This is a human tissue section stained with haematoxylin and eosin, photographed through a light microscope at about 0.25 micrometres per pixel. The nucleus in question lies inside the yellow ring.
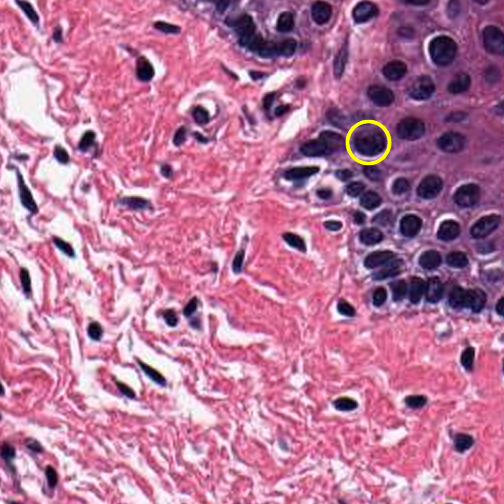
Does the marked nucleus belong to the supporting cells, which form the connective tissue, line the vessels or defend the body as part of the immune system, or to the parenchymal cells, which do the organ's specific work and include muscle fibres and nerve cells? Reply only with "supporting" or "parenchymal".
parenchymal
